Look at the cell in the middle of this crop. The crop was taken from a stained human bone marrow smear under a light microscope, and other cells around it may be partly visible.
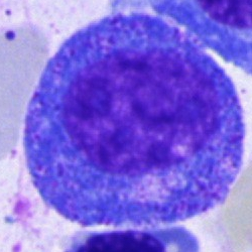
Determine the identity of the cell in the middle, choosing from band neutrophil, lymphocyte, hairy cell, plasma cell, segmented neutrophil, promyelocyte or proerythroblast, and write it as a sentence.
The single cell at the center of the crop is a promyelocyte.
